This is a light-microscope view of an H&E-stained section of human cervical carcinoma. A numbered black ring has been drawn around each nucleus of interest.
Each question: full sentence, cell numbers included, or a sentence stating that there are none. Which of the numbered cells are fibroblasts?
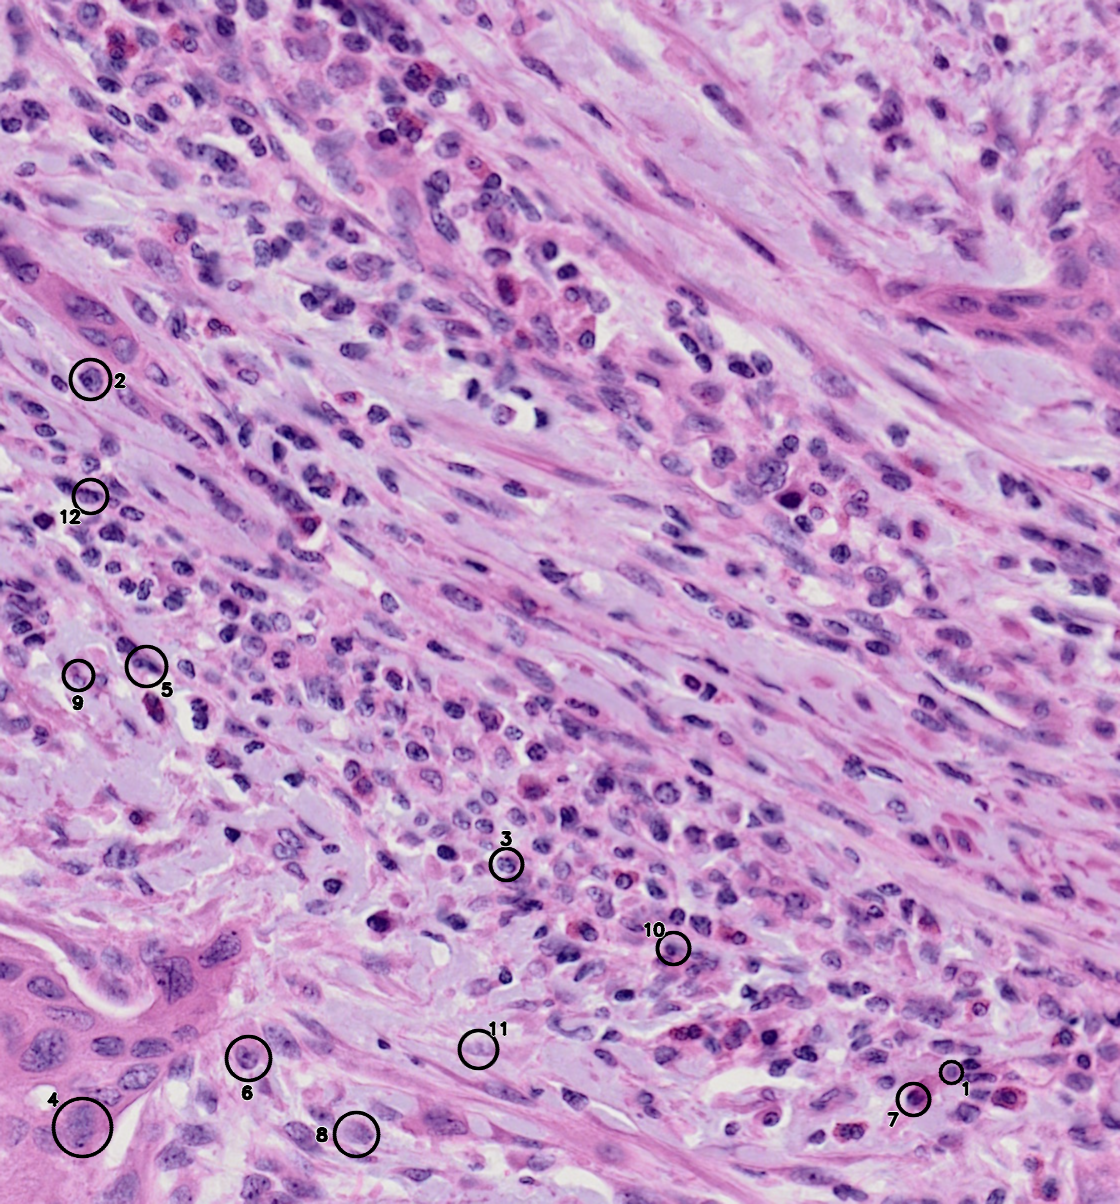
The numbers 8, 9 and 11 in this section indicate fibroblasts.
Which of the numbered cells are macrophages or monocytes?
The numbered cell that is a macrophage or monocyte is cell 6, and it is the only one.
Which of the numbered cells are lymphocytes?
In this section, the cells labelled 1, 2, 3, 5, 7, 10 and 12 are lymphocytes.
